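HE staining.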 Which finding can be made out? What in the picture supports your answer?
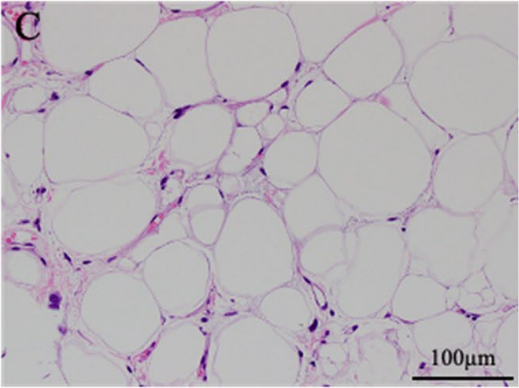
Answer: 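Fat cells range from very large to small ones. Small fat cells lie among large ones.
Conclusion: differences in size of adipocytes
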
